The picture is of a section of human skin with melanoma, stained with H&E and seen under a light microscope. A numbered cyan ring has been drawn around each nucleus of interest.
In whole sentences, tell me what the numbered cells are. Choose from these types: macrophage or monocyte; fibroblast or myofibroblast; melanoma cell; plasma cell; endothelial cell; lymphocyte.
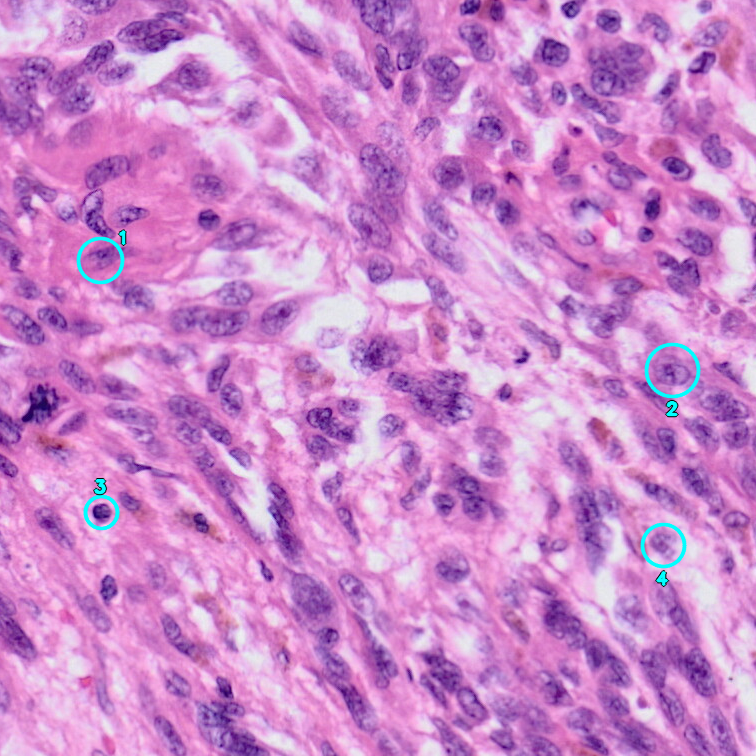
Cell 1 is an endothelial cell, cell 2 is a melanoma cell, cell 3 is a lymphocyte and cell 4 is a melanoma cell.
